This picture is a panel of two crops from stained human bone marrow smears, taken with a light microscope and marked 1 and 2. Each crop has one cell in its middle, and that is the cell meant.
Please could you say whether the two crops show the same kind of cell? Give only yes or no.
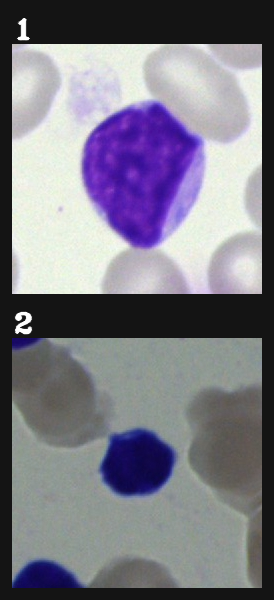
no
